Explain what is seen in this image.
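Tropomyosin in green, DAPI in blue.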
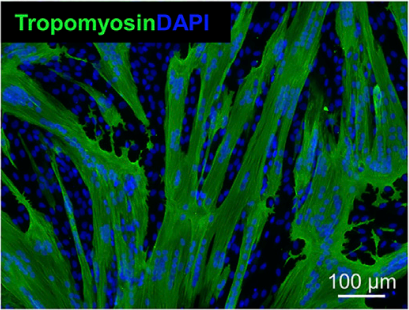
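A dense culture is crossed by long, broad green ribbons running roughly in parallel, with many blue nuclei packed between and within them. Inside each green ribbon the oval nuclei line up in rows along its length, so one structure carries many nuclei. Some ribbons branch or taper at their ends, and dark gaps between them hold further blue nuclei of unfused cells. These long multinucleated green structures are myotubes formed by the fusion of myoblasts.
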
